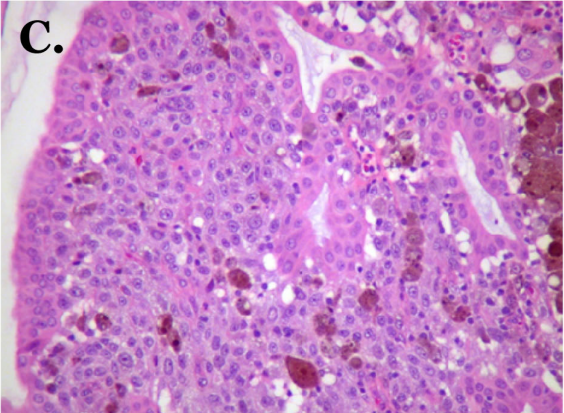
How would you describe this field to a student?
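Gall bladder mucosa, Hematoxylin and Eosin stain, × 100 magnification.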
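Scattered among them are cells and clusters loaded with coarse brown pigment, heaviest toward the right edge. A few narrow, slit-like spaces with pale contents run through the sheets, and small clear vacuoles are dotted about. Along the left edge a smooth surface lining borders the tumour.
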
